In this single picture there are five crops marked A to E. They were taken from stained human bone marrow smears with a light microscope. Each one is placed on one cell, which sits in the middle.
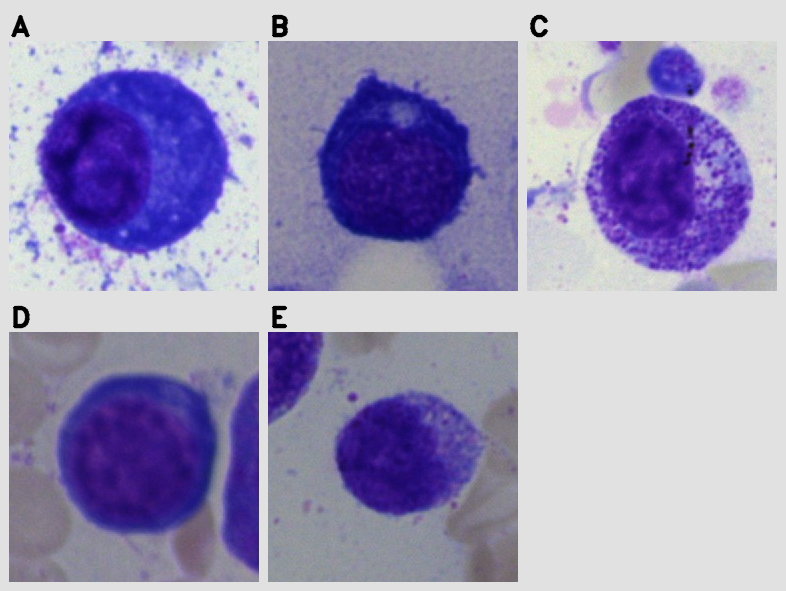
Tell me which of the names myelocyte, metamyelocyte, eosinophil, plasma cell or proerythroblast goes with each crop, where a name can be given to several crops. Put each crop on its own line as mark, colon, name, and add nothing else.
A: plasma cell
B: proerythroblast
C: myelocyte
D: proerythroblast
E: myelocyte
